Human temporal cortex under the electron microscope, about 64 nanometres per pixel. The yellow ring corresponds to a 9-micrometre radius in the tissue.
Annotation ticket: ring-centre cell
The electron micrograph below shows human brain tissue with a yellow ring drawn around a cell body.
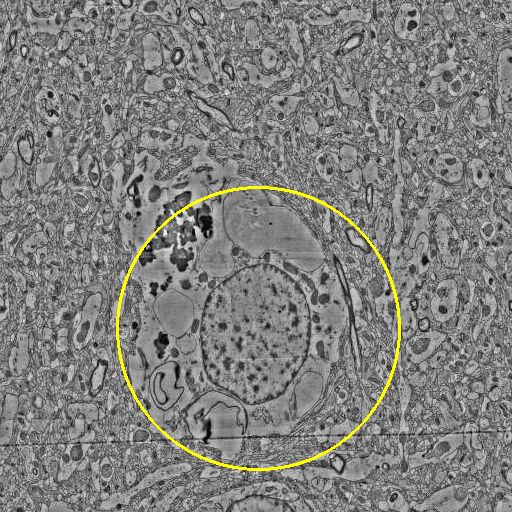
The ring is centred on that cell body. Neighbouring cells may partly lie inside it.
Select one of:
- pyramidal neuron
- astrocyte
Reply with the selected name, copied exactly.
astrocyte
